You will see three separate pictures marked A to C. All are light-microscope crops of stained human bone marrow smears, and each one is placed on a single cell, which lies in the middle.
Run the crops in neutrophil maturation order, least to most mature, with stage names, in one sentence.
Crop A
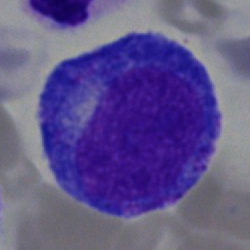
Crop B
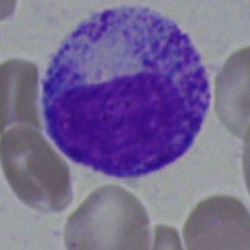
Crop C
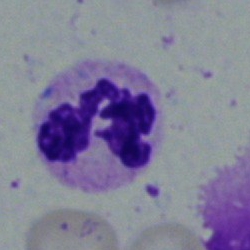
Starting from the least mature, the sequence proceeds crop A (a promyelocyte), crop B (a myelocyte) and crop C (a segmented neutrophil).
